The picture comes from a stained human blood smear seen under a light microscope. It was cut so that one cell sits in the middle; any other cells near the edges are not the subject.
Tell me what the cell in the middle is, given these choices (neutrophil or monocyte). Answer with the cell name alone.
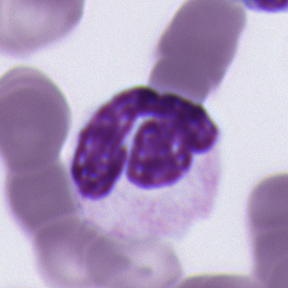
neutrophil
